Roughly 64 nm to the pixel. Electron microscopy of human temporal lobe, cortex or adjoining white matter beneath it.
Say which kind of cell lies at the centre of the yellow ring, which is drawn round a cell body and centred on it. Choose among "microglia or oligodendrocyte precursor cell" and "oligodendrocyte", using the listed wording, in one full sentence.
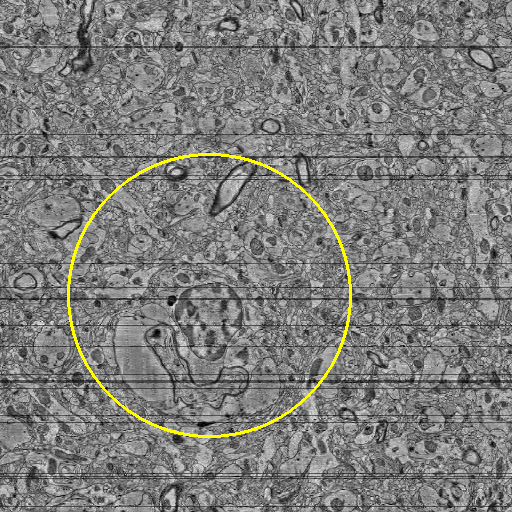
Going by the list, the cell at the yellow ring's centre is a microglial cell or oligodendrocyte precursor cell.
